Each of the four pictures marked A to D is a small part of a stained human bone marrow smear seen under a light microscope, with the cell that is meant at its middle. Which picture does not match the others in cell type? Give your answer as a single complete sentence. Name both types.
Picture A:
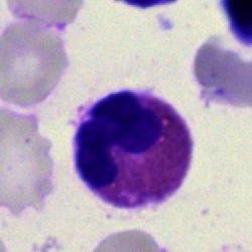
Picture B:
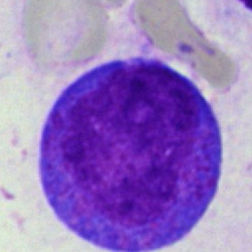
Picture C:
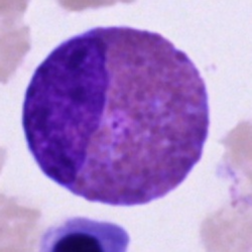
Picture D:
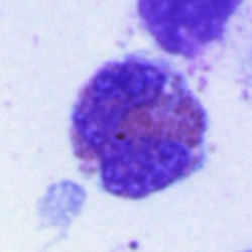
All pictures except B show eosinophils; picture B shows a promyelocyte.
